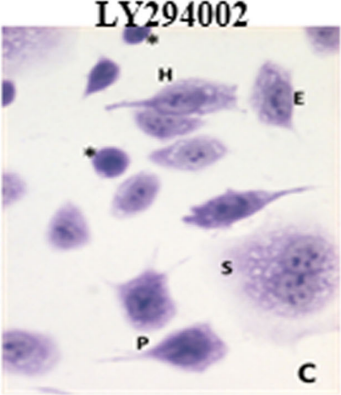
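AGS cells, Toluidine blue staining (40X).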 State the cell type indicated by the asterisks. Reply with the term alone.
Cells with heterochromatic nucleus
